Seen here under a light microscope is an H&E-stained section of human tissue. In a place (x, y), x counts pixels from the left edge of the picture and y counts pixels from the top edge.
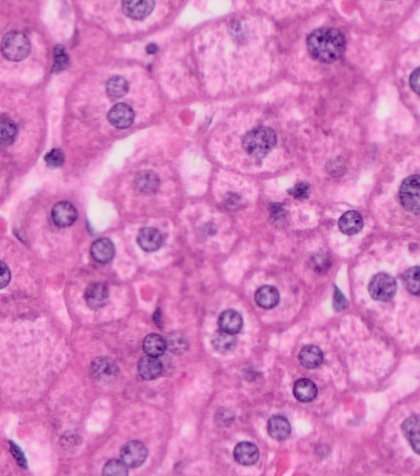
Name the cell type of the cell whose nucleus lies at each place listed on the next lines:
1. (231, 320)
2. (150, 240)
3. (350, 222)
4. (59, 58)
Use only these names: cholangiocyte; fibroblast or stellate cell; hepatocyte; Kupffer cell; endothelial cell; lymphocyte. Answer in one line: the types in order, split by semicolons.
hepatocyte; hepatocyte; hepatocyte; fibroblast or stellate cell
